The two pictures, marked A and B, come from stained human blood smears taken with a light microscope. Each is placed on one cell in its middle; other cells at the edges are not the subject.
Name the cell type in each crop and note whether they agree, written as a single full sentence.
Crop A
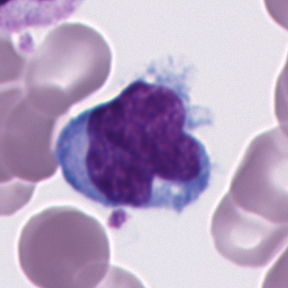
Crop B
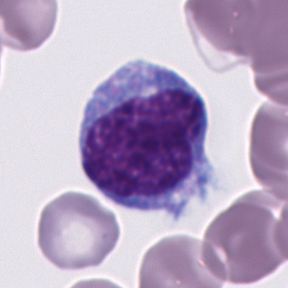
Yes, the cells in the centres of the two crops are monocytes.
